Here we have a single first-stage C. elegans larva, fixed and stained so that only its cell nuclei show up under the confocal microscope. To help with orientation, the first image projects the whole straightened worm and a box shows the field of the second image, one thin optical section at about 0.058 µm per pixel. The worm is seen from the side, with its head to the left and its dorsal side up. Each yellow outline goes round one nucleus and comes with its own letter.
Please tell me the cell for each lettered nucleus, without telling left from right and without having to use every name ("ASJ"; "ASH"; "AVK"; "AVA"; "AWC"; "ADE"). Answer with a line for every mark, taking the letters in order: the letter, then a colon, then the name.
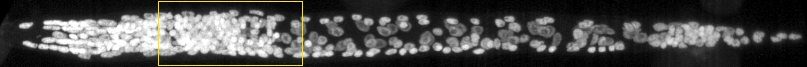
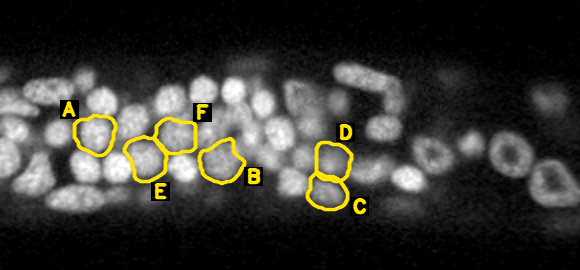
A: AVA
B: ASJ
C: AVK
D: ADE
E: AWC
F: ASH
